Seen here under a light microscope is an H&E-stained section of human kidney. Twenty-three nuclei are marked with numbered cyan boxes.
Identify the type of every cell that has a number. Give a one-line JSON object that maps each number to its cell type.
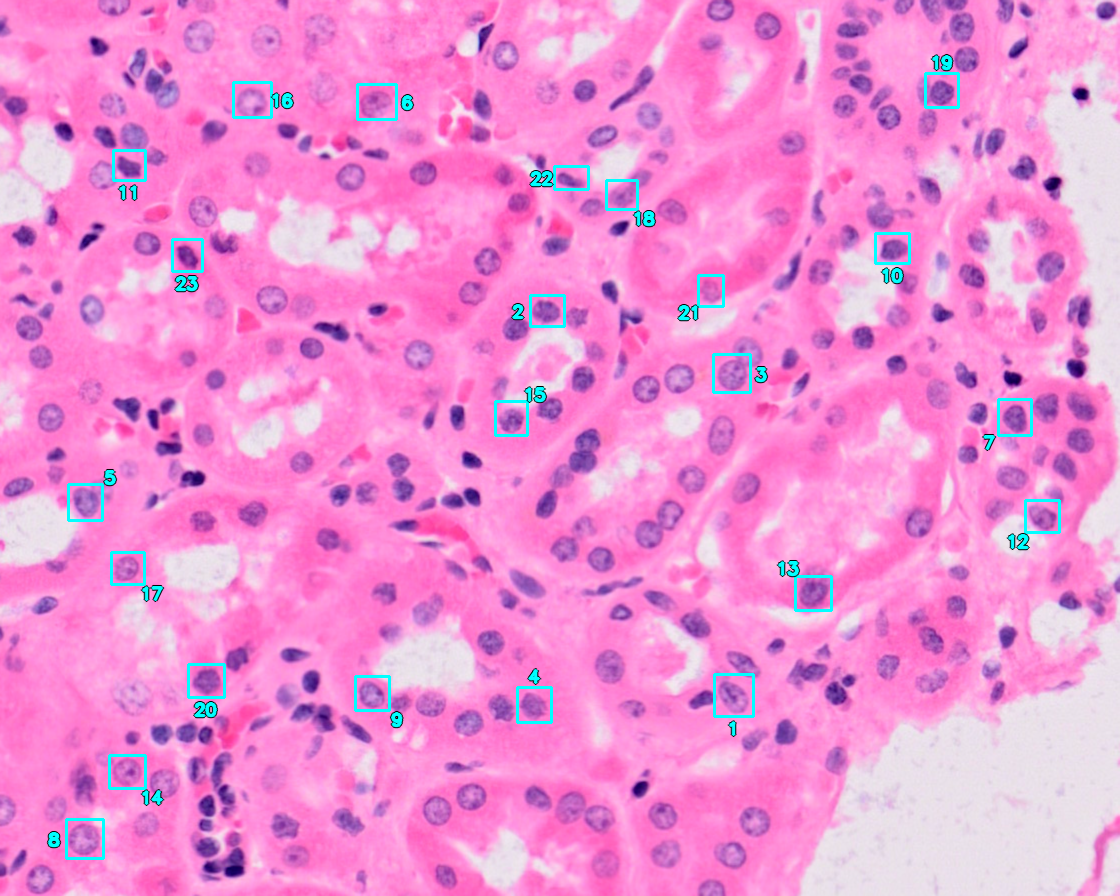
{"1": "collecting duct cell", "2": "loop of Henle or distal tubule cell", "3": "proximal tubule cell", "4": "loop of Henle or distal tubule cell", "5": "loop of Henle or distal tubule cell", "6": "proximal tubule cell", "7": "collecting duct cell", "8": "proximal tubule cell", "9": "loop of Henle or distal tubule cell", "10": "loop of Henle or distal tubule cell", "11": "loop of Henle or distal tubule cell", "12": "collecting duct cell", "13": "proximal tubule cell", "14": "proximal tubule cell", "15": "loop of Henle or distal tubule cell", "16": "proximal tubule cell", "17": "proximal tubule cell", "18": "collecting duct cell", "19": "collecting duct cell", "20": "proximal tubule cell", "21": "proximal tubule cell", "22": "collecting duct cell", "23": "proximal tubule cell"}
